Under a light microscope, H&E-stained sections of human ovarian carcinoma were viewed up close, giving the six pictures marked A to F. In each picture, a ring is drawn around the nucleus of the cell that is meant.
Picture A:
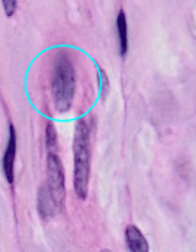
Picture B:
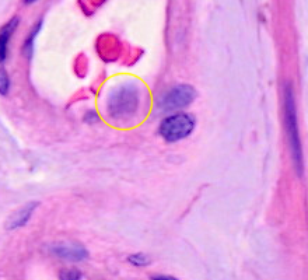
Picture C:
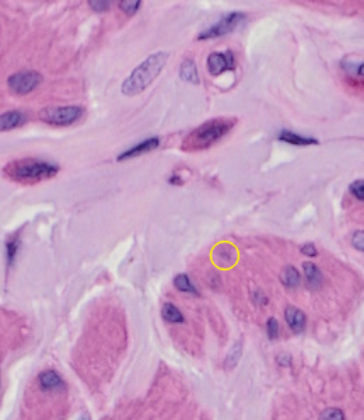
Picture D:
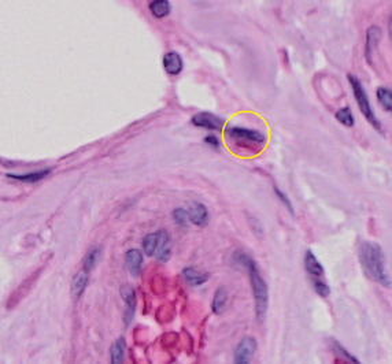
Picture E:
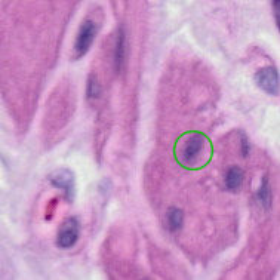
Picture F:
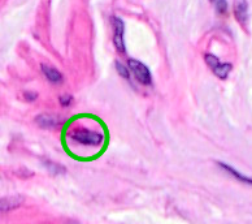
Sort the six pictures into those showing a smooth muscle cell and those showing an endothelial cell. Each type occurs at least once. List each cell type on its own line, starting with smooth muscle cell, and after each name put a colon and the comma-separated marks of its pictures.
smooth muscle cell: C, E
endothelial cell: A, B, D, F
